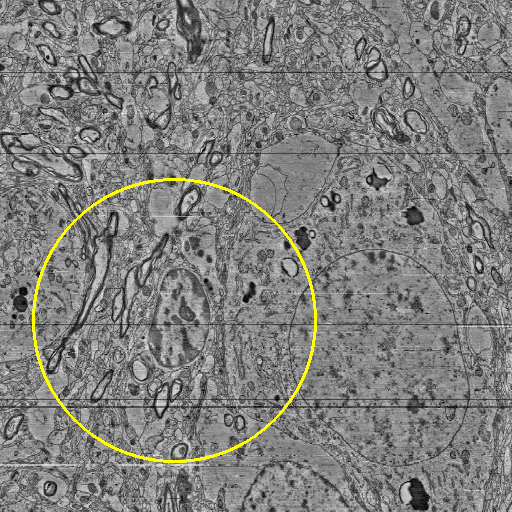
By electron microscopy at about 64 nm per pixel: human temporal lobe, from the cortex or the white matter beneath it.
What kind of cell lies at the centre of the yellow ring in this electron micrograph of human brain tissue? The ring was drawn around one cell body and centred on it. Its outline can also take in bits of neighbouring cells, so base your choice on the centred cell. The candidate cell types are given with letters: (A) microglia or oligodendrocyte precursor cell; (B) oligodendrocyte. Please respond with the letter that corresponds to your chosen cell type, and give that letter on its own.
A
